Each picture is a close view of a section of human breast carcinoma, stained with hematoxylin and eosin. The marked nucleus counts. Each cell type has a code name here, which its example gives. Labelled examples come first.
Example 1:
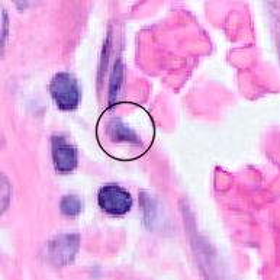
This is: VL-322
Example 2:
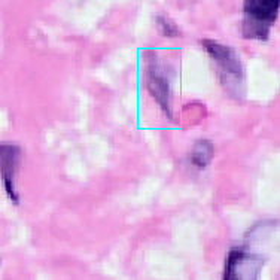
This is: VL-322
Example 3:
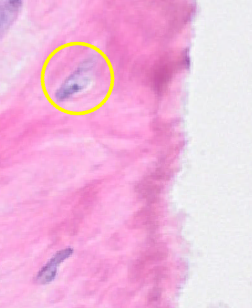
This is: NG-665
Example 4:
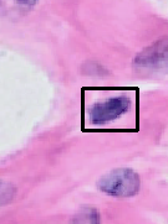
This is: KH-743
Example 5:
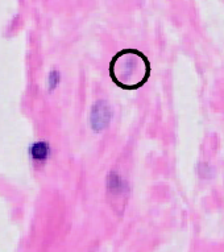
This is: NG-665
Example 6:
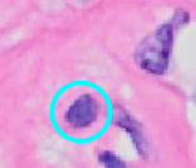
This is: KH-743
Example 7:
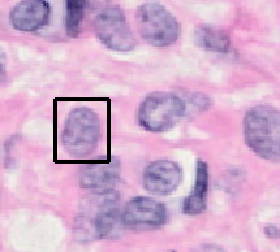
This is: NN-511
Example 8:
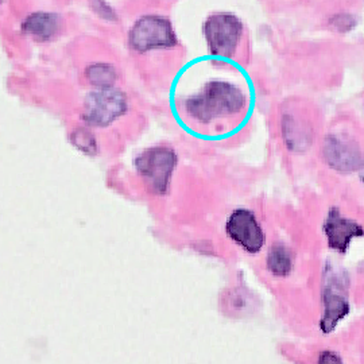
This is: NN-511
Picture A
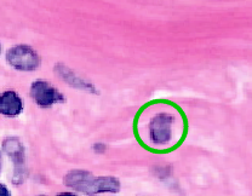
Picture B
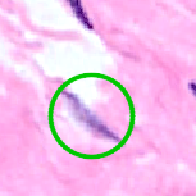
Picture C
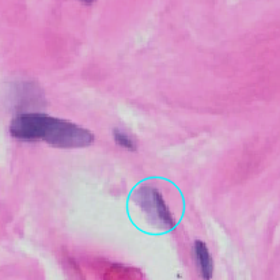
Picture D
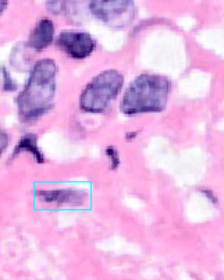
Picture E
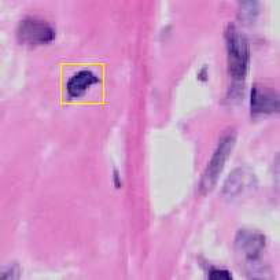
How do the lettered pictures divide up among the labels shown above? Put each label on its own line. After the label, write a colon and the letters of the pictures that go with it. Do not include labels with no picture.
VL-322: C
NG-665: B, D
KH-743: A, E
